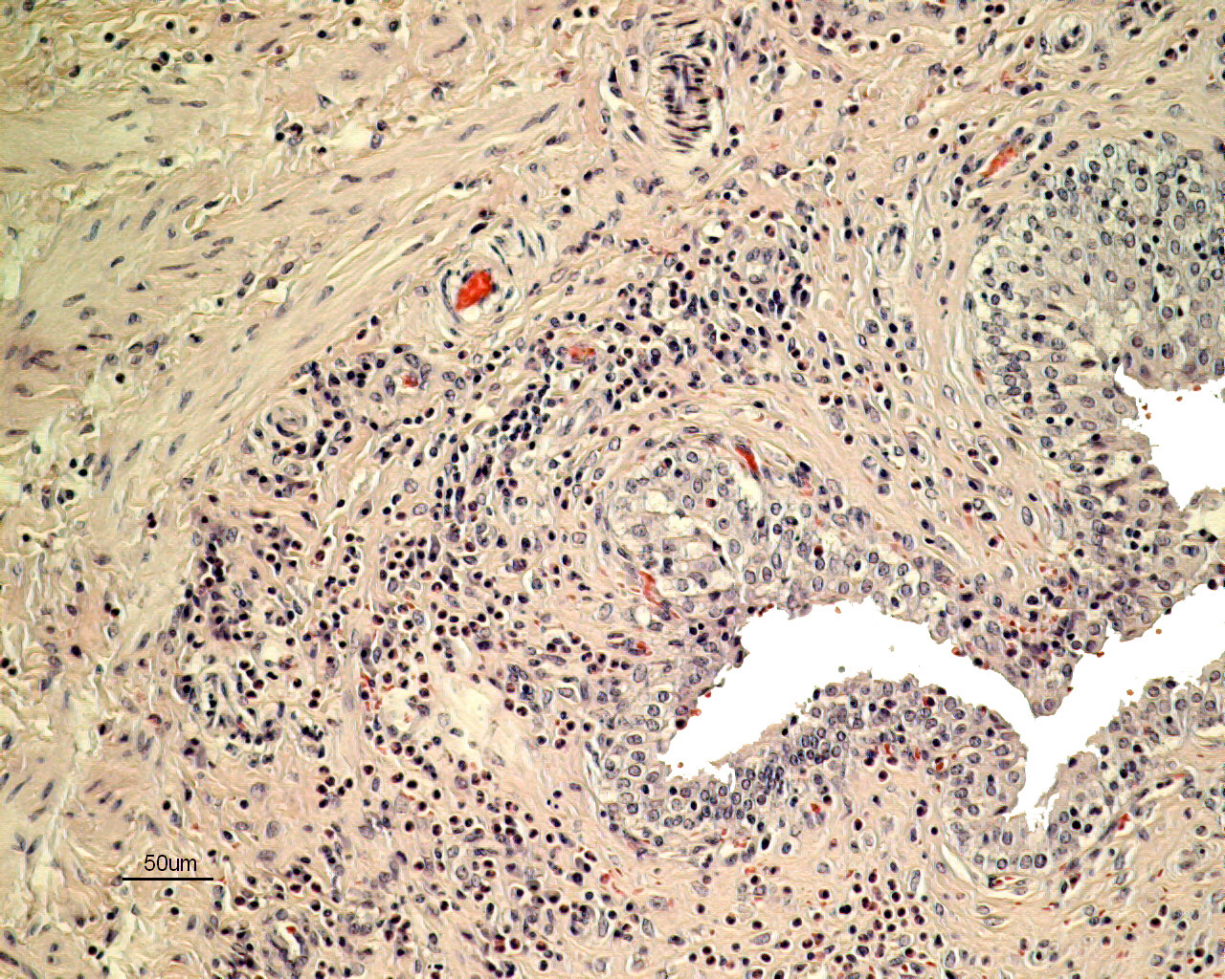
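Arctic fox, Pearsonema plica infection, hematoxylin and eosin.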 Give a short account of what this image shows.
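This is a section of the urinary bladder wall. At right, a multilayered epithelium of rounded cells with oval nuclei lines a branching, empty lumen and forms folds that dip into the underlying tissue. Beneath the epithelium, the connective tissue of the lamina propria is crowded with small round cells with dark, compact nuclei, and some of these cells show pinkish-red cytoplasm. Toward the upper left lie bundles of elongated spindle-shaped cells, the smooth muscle of the muscularis propria. Small round inflammatory cells are also scattered among these superficial muscle bundles. Small blood vessels containing red blood cells are present within the stroma. Together these features show a dense inflammatory infiltrate in the bladder wall, made up mostly of eosinophils.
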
